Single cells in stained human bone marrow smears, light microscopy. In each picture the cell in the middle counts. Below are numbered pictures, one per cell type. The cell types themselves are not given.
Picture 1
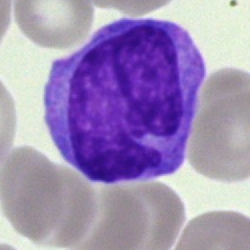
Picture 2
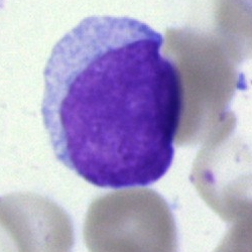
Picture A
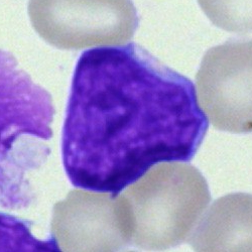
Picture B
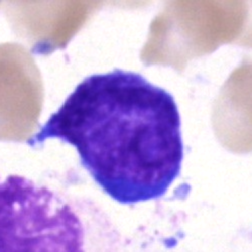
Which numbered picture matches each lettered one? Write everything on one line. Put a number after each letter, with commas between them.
A 2, B 2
